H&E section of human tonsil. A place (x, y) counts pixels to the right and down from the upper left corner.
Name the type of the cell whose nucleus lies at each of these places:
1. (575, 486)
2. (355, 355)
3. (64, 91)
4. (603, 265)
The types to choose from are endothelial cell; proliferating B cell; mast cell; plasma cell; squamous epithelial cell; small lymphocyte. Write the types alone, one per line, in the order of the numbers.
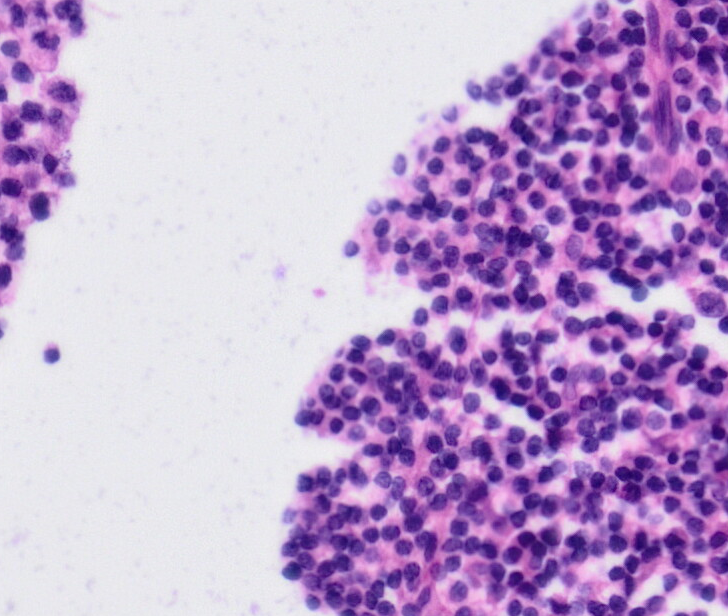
small lymphocyte
small lymphocyte
proliferating B cell
small lymphocyte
